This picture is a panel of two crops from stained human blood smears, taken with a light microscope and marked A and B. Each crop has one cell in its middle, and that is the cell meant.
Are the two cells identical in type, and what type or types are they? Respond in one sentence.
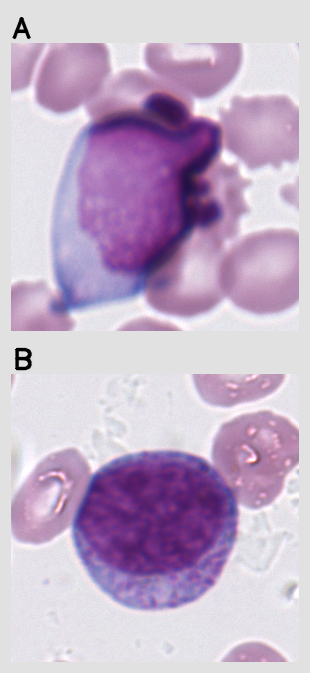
No, crop A should be called a myeloblast, and crop B should be called a promyelocyte.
